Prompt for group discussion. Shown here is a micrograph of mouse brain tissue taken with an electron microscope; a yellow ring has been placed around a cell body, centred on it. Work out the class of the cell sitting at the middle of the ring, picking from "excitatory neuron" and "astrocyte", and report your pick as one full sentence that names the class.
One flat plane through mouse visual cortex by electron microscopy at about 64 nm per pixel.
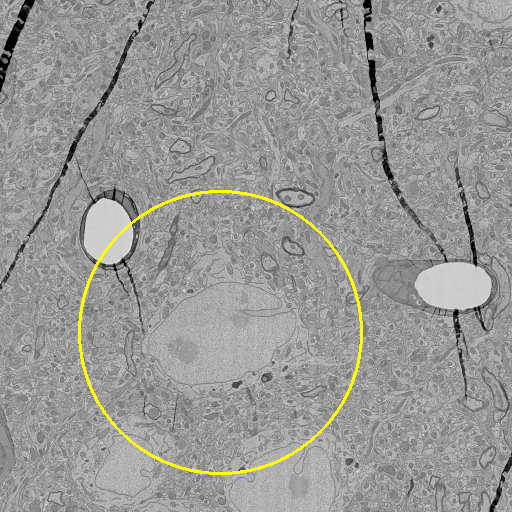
The cell sitting at the middle of the yellow ring is an excitatory neuron.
